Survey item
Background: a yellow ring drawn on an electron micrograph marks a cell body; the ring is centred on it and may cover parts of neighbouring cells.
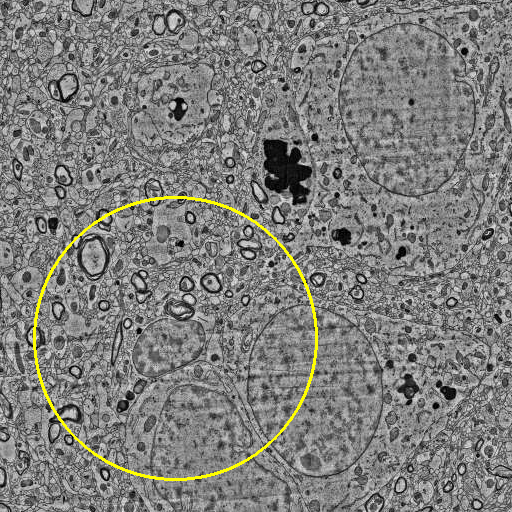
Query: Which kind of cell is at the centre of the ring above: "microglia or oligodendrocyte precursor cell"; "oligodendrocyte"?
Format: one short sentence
The cell in the middle of the ring is a microglial cell or oligodendrocyte precursor cell.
